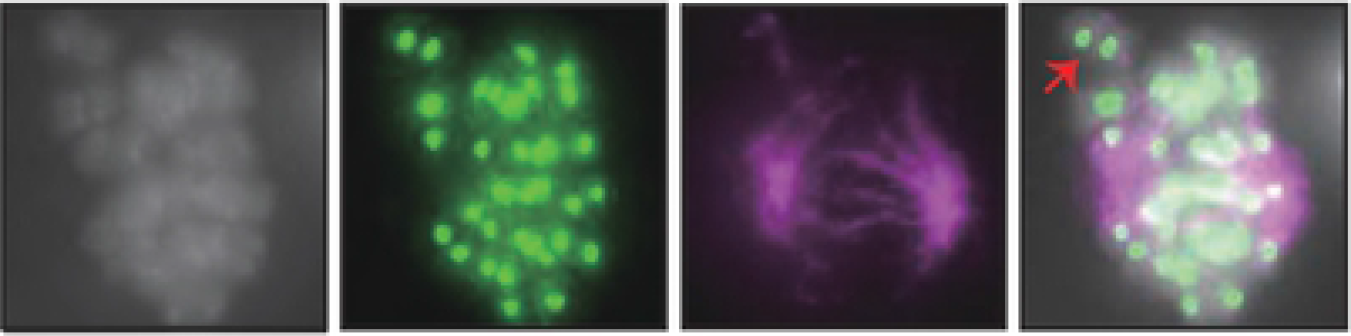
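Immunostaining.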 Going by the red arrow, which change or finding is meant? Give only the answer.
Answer: misaligned chromosomes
